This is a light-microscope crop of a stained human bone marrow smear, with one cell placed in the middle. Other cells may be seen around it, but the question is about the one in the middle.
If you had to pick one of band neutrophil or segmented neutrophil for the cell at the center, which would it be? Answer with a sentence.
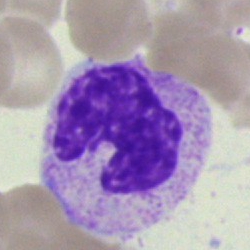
The cell centred in this crop is categorized as a band neutrophil.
